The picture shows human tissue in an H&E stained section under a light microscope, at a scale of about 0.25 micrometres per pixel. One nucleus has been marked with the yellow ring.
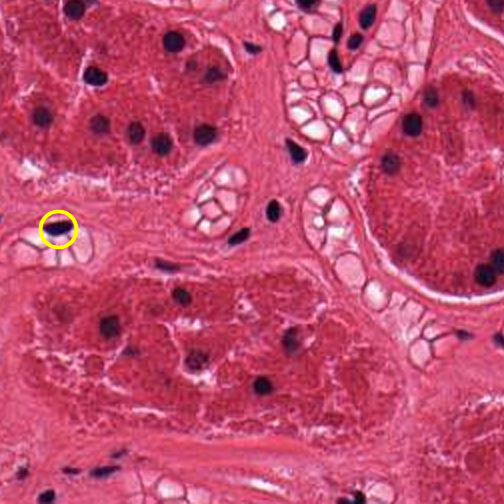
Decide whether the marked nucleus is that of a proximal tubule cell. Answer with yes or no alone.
no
